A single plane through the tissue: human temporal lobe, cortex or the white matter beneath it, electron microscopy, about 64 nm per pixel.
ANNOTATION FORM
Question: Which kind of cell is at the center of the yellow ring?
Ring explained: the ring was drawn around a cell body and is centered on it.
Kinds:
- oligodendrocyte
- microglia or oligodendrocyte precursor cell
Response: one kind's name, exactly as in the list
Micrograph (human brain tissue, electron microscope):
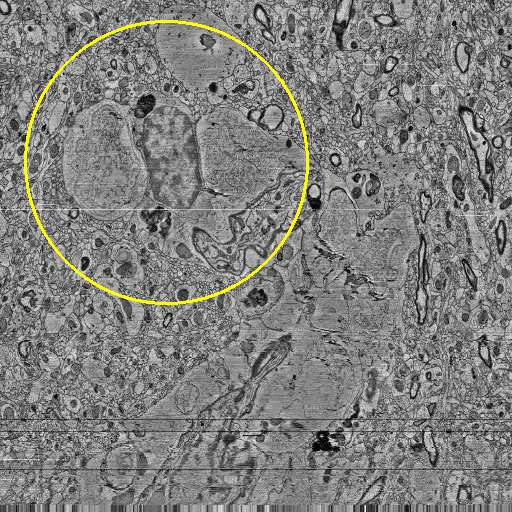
oligodendrocyte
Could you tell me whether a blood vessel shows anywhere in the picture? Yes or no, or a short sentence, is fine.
Yes, there is one.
